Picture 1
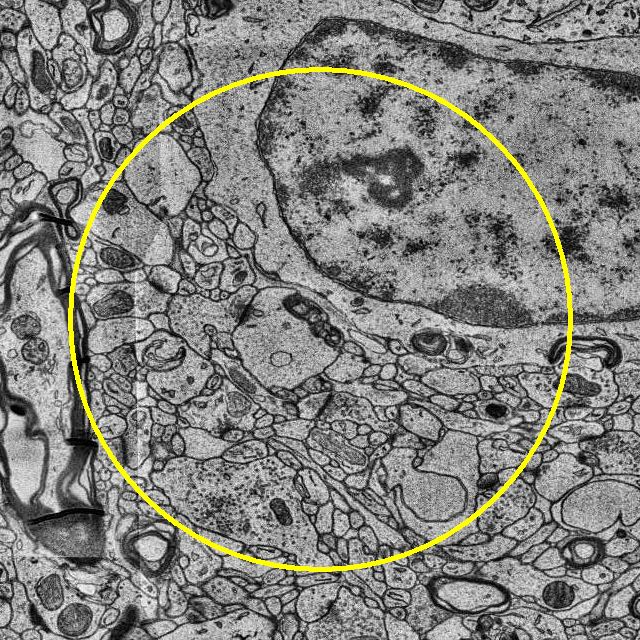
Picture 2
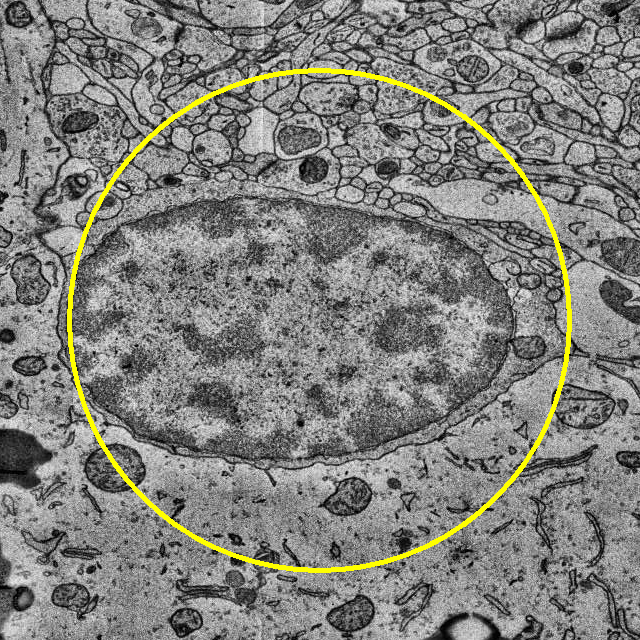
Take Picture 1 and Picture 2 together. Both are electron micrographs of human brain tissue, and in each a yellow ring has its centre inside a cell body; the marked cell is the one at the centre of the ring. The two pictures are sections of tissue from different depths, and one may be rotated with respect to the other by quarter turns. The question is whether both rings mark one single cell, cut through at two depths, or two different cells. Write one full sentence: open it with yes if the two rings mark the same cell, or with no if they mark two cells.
No, one ring marks one cell and the other ring marks another.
